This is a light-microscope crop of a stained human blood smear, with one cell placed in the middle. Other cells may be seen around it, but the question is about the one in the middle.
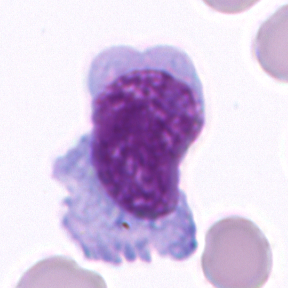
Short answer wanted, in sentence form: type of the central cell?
The centered cell in this crop is a plasma cell.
